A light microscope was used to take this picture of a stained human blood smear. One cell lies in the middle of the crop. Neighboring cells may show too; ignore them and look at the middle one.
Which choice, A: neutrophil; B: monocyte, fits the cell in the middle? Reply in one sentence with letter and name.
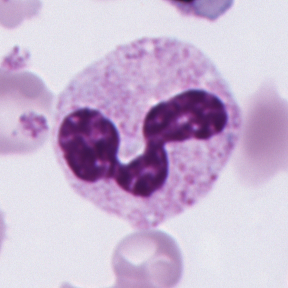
The correct identification, given in option A, is that the central cell is a neutrophil.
